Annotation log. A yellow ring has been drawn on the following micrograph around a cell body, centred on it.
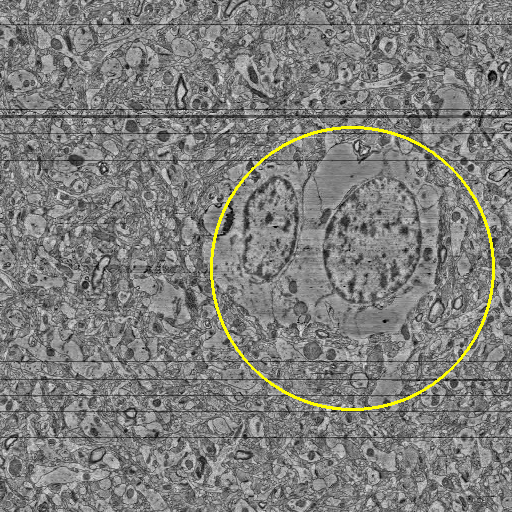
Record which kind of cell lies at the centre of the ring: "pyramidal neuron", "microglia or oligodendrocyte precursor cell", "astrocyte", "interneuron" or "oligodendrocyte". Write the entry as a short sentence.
The cell the ring is centred on is an astrocyte.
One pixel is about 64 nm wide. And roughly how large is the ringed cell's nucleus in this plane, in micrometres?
In this plane the nucleus measures roughly 9 by 6 micrometres.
